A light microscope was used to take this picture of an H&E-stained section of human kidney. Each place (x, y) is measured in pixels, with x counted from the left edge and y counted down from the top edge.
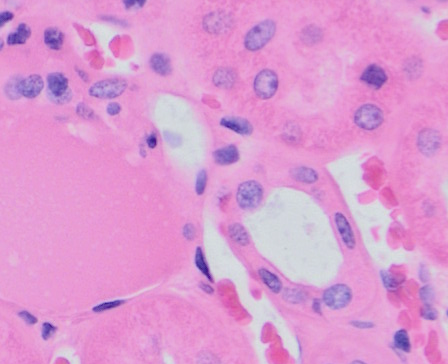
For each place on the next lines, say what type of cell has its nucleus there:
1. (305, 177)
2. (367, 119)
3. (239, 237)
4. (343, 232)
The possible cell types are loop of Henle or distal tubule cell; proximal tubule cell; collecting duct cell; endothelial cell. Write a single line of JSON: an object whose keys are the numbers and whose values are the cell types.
{"1": "collecting duct cell", "2": "proximal tubule cell", "3": "collecting duct cell", "4": "collecting duct cell"}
